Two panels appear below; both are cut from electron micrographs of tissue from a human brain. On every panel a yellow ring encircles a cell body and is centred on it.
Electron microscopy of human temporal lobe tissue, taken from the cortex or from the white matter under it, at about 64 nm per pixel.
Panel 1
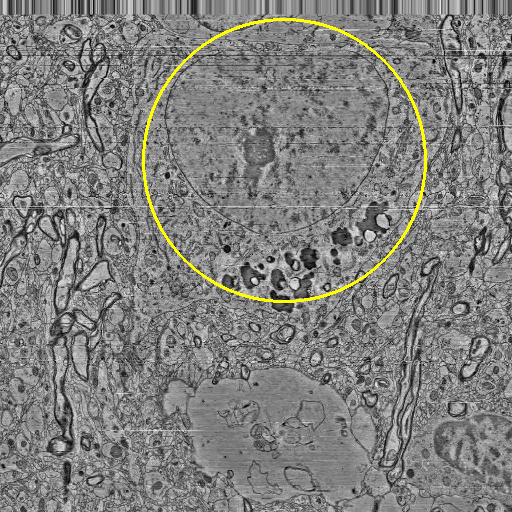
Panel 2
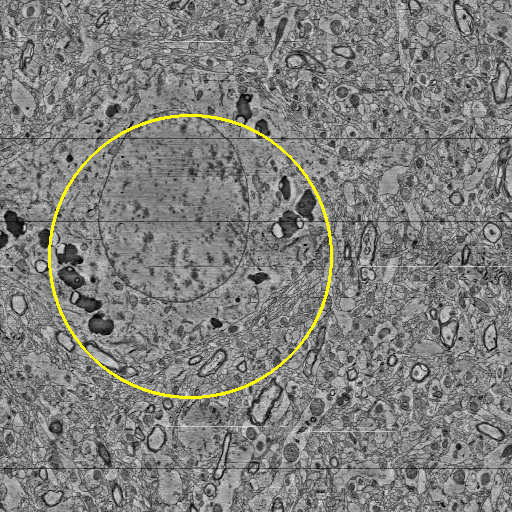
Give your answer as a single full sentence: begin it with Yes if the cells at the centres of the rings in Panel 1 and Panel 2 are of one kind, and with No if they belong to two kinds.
Yes, the cells in the middle of the rings in Panels 1 and 2 are of one kind.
